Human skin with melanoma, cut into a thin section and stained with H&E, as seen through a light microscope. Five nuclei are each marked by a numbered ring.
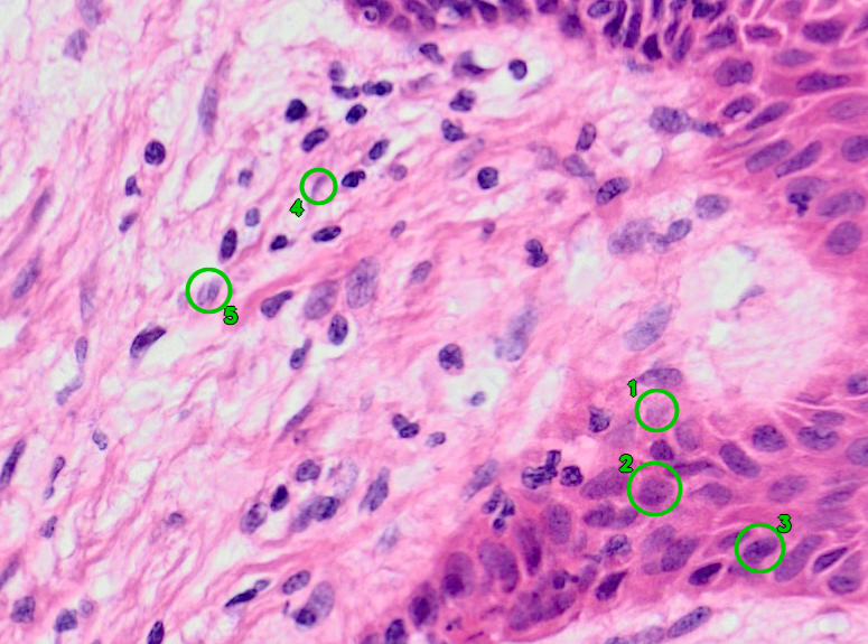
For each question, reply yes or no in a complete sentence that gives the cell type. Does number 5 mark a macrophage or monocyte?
Yes, exactly, the cell numbered 5 is a macrophage or monocyte.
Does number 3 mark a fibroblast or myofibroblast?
No, it is a keratinocyte, rather than a fibroblast or myofibroblast, that carries number 3.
